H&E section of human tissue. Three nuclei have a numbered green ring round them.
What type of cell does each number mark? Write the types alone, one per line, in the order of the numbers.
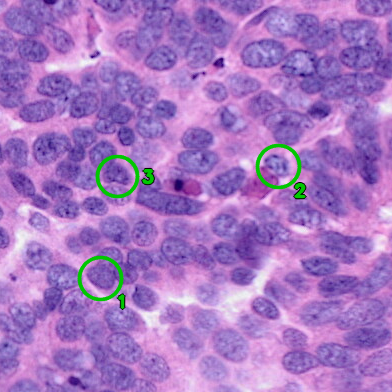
carcinoma cell
macrophage or monocyte
carcinoma cell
